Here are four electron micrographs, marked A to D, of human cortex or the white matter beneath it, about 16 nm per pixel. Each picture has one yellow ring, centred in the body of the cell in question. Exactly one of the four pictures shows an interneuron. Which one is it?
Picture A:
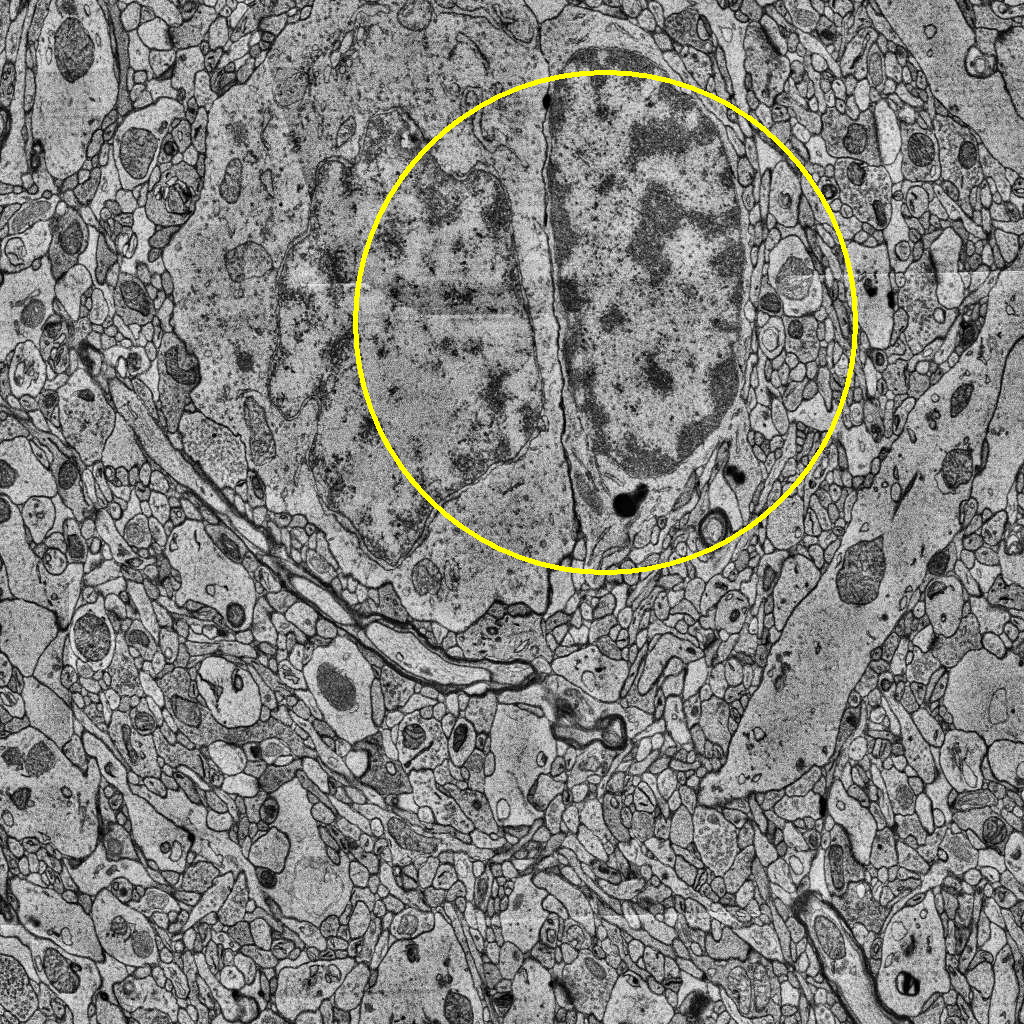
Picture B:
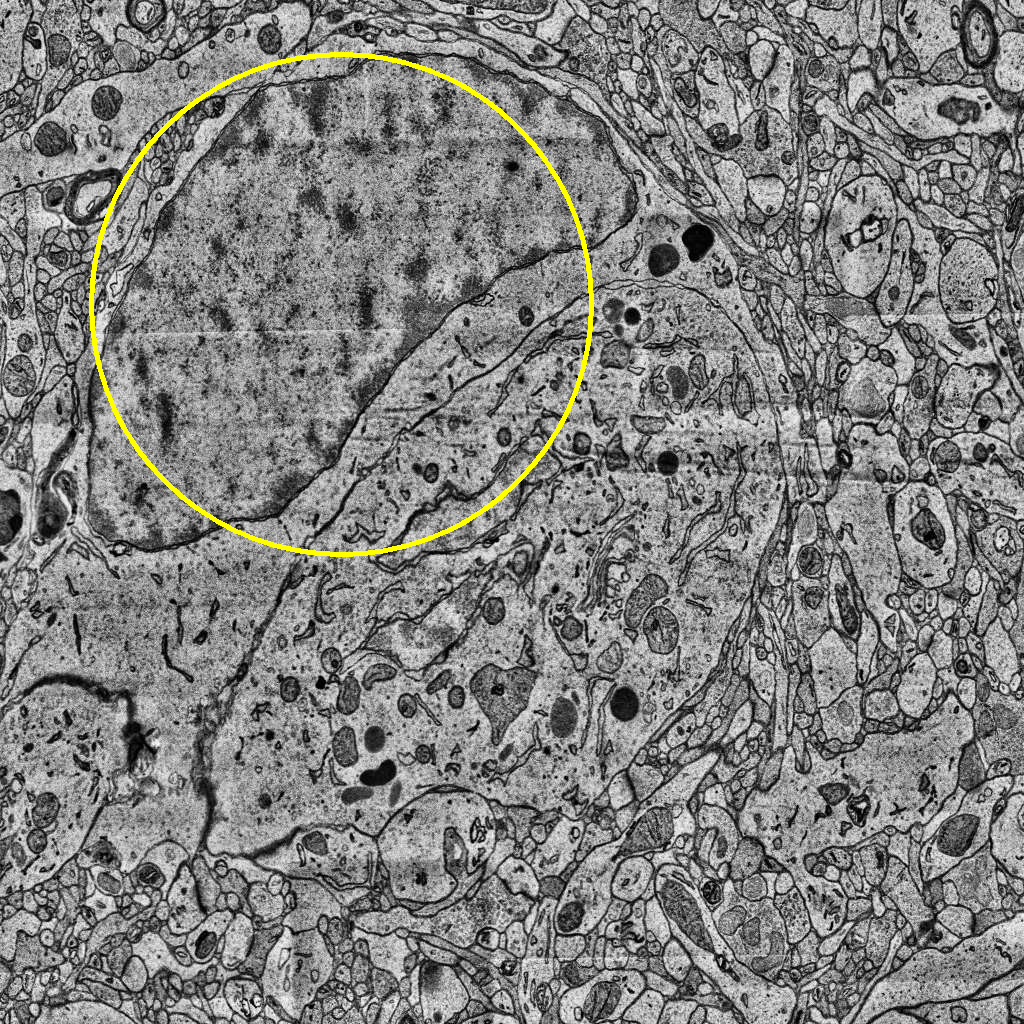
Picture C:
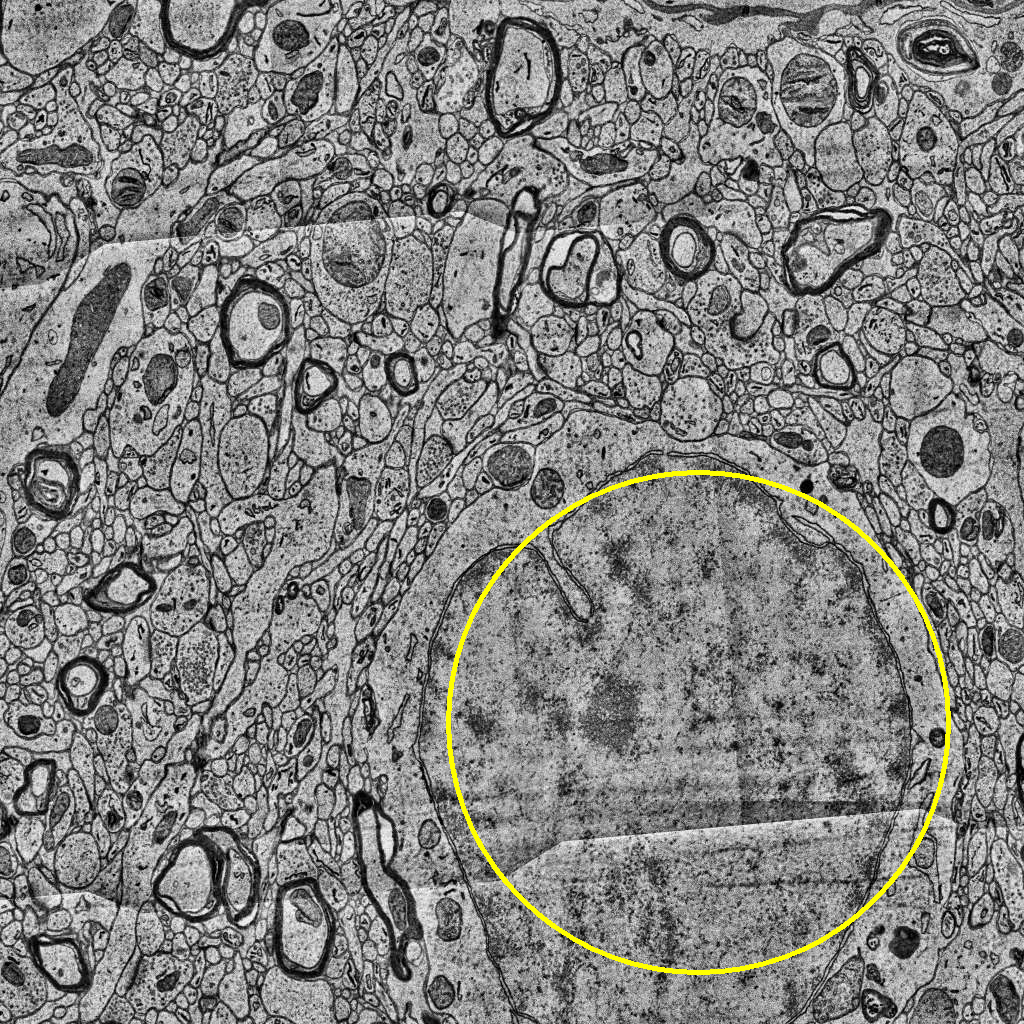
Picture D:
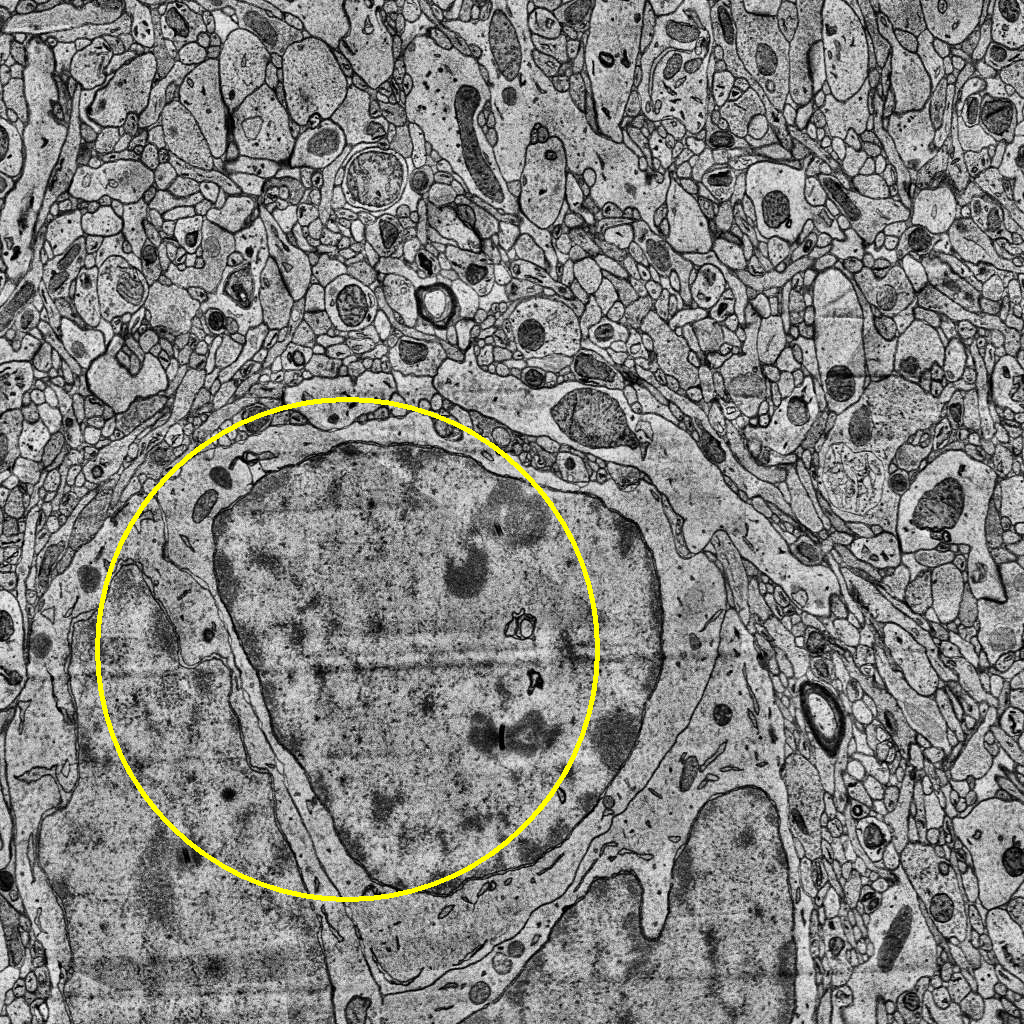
The picture with the interneuron is C.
